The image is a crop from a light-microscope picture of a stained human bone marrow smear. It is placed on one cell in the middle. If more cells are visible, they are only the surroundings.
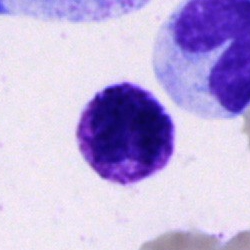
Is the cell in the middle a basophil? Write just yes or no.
yes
